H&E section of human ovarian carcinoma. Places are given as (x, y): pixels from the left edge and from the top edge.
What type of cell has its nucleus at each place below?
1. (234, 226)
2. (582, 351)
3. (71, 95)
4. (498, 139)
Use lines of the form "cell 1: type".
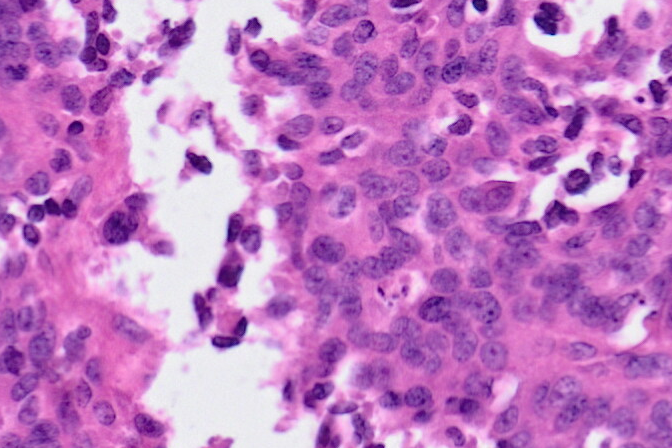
cell 1: carcinoma cell
cell 2: endothelial cell
cell 3: carcinoma cell
cell 4: carcinoma cell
